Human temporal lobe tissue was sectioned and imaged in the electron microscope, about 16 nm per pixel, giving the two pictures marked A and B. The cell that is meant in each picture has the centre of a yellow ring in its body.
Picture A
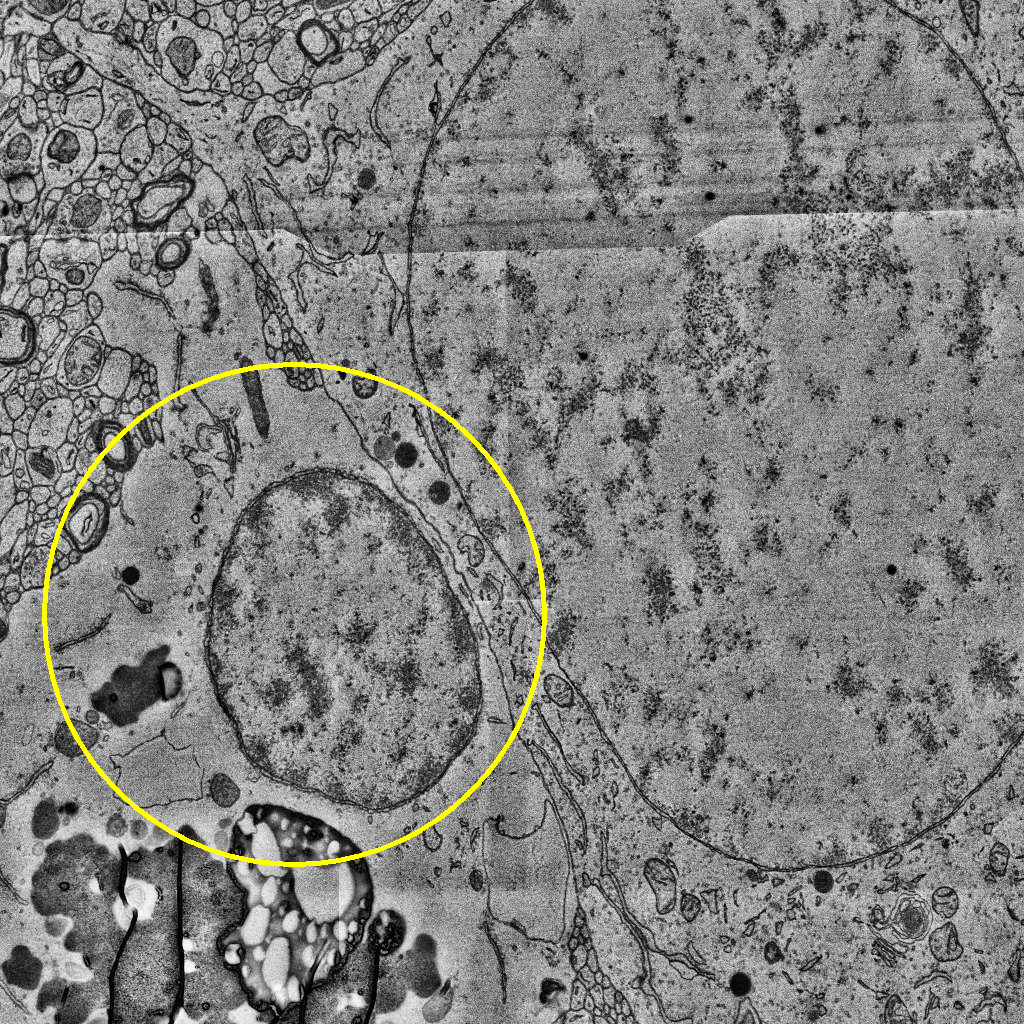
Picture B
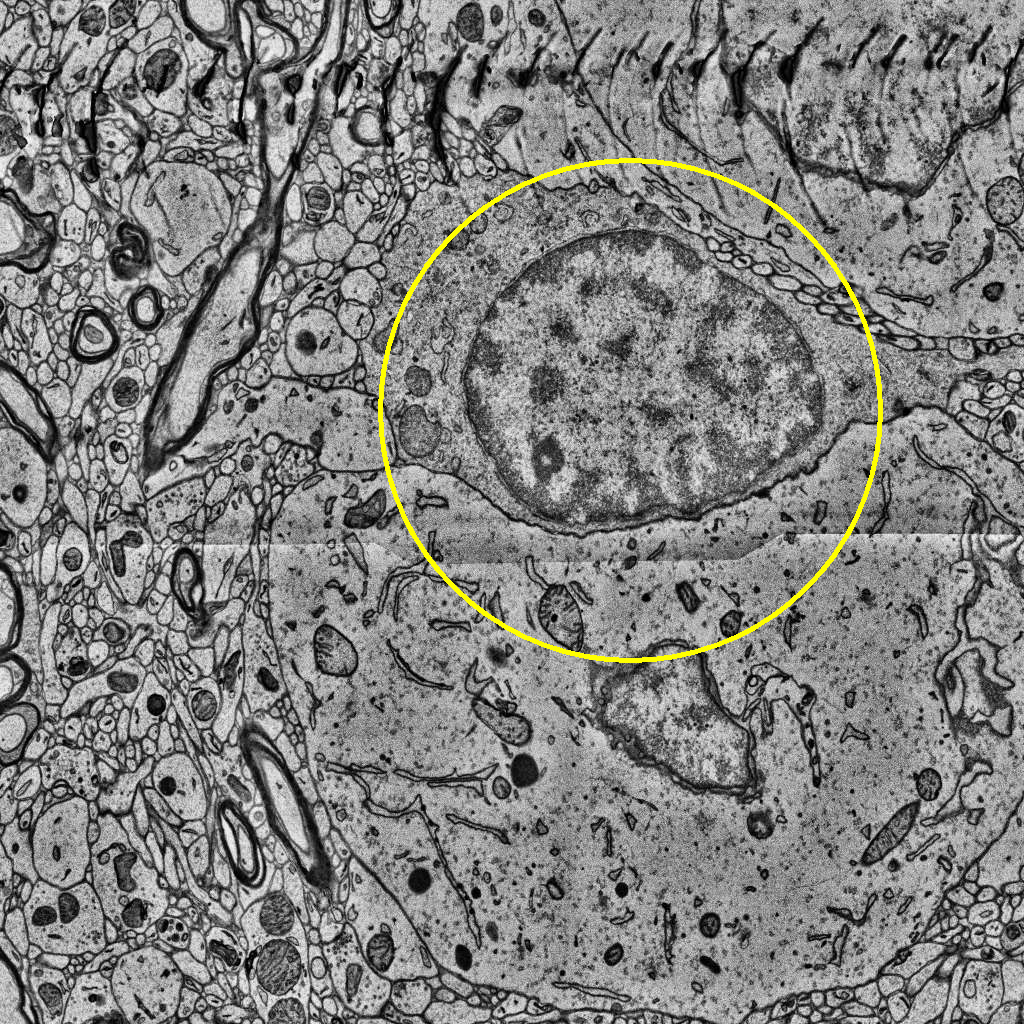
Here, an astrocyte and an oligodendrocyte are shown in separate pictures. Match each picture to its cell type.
Picture A is of an astrocyte, and picture B is of an oligodendrocyte.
